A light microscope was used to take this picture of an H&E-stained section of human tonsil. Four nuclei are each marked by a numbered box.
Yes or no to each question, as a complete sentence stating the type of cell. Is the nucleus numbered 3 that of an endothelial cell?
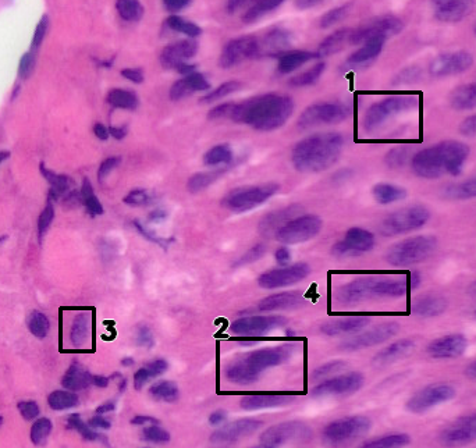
Yes, looking at number 3, that cell is an endothelial cell.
